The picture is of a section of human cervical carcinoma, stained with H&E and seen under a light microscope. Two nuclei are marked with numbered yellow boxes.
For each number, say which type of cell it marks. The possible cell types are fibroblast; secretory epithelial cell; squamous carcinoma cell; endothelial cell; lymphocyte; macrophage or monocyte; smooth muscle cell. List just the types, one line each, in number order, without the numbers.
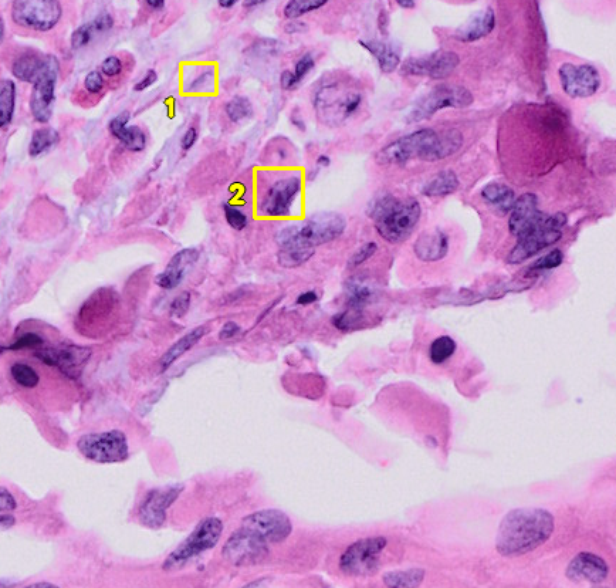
fibroblast
macrophage or monocyte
